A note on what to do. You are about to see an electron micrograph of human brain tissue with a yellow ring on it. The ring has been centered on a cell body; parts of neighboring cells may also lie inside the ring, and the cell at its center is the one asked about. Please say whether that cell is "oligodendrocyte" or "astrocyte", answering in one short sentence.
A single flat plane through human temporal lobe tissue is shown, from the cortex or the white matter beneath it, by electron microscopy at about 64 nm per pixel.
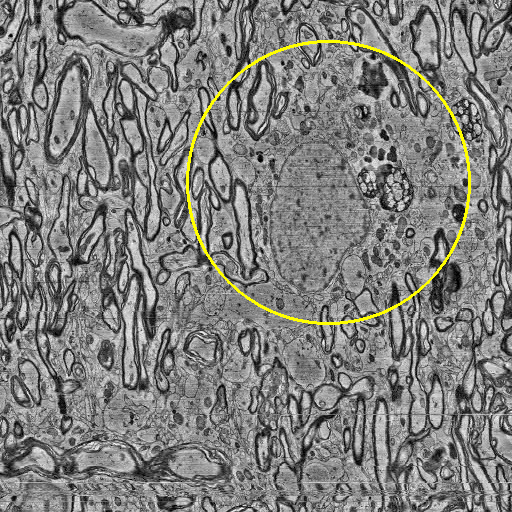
The yellow ring sits on an astrocyte.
